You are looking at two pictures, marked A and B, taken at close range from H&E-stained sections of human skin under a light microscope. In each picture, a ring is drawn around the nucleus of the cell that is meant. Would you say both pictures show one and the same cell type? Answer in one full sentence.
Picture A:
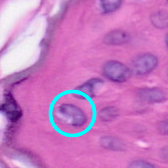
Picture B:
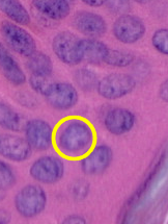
Yes, they are the same type: both are suprabasal keratinocytes.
